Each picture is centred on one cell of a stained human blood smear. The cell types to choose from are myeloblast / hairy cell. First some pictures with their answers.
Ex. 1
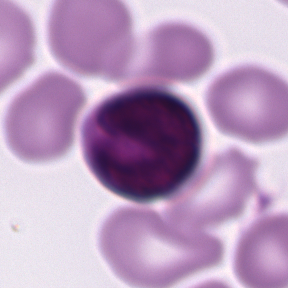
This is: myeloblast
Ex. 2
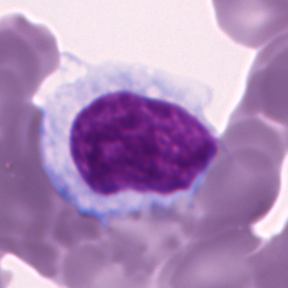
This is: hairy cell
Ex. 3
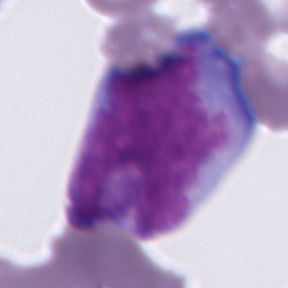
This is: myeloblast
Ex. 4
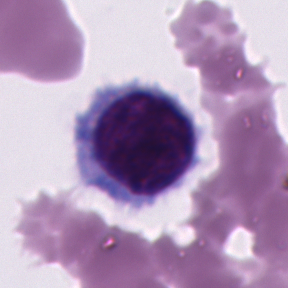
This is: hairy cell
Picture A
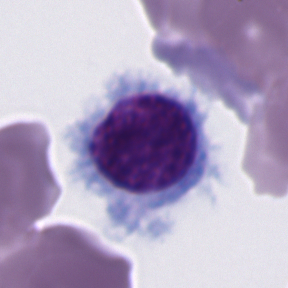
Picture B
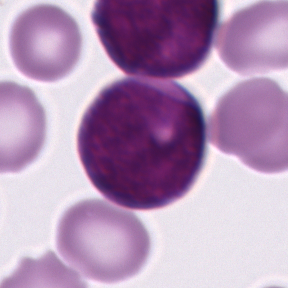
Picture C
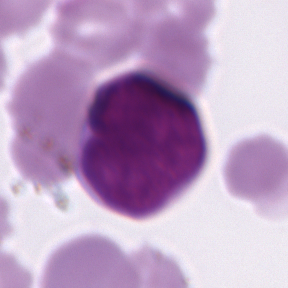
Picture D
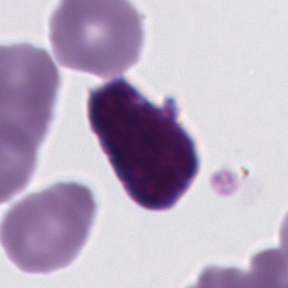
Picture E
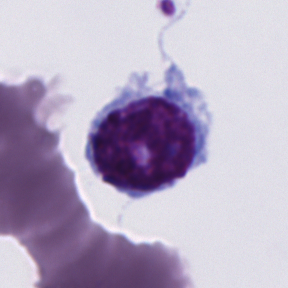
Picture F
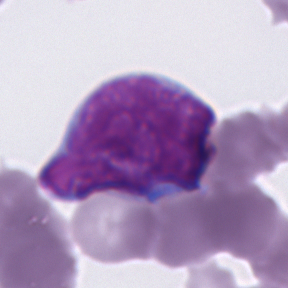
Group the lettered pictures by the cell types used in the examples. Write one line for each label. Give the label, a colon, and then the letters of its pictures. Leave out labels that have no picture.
myeloblast: B, C, D, F
hairy cell: A, E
